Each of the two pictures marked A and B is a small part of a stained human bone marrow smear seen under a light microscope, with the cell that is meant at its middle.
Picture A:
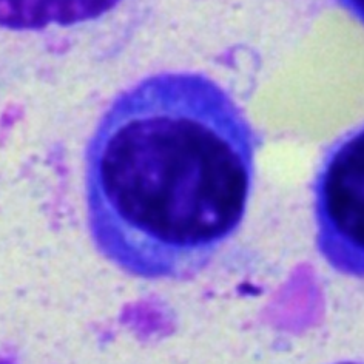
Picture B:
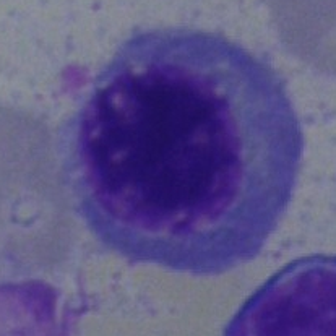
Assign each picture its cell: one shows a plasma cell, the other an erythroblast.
A: plasma cell
B: erythroblast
